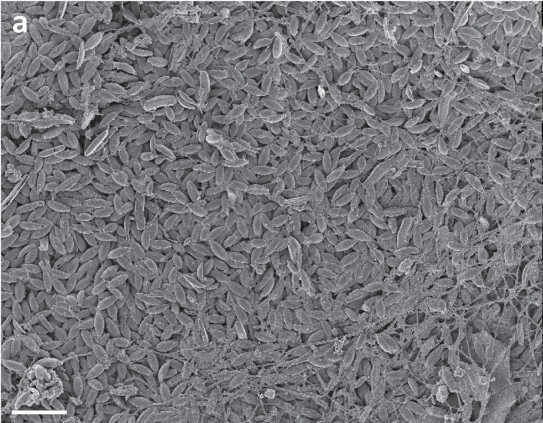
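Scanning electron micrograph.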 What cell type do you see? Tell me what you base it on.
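A dense mat of small spindle-shaped cells covers the surface. The cells lie tightly packed in many orientations. So: diatoms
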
